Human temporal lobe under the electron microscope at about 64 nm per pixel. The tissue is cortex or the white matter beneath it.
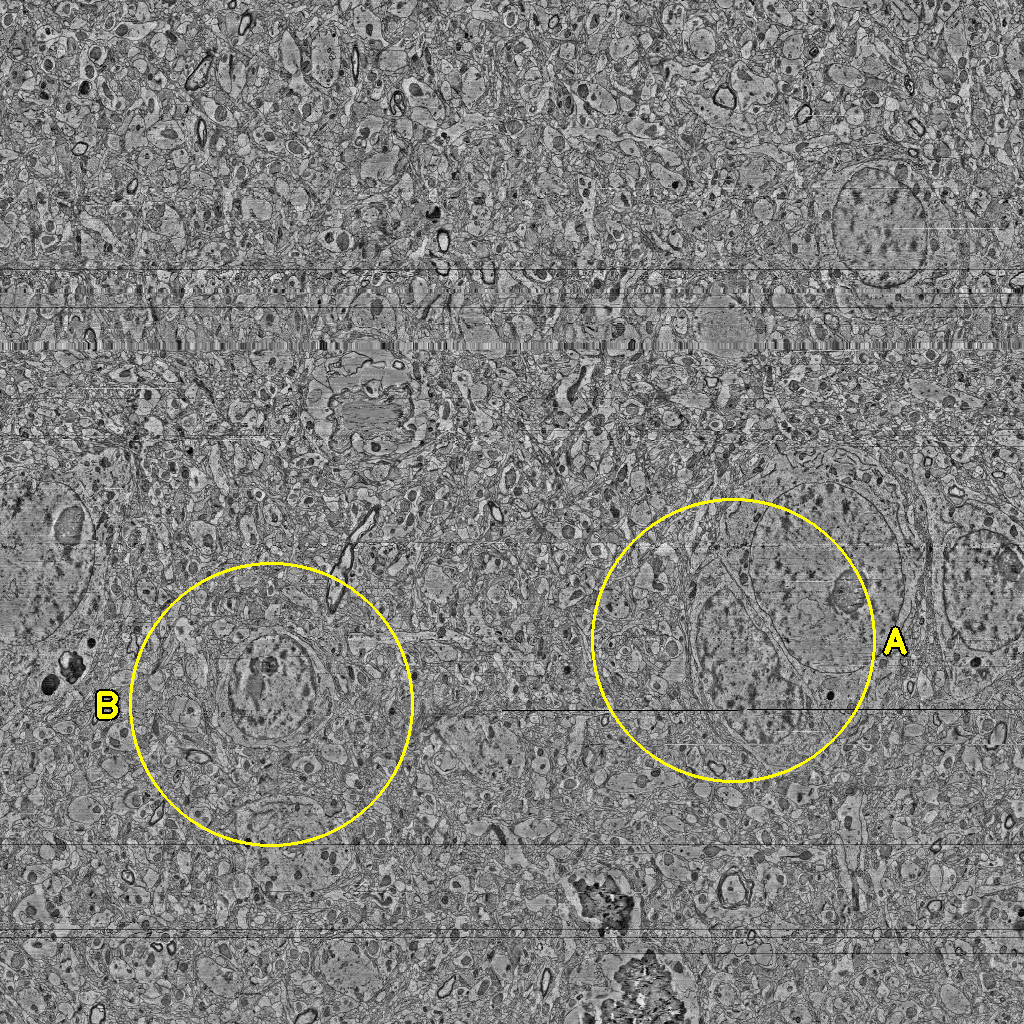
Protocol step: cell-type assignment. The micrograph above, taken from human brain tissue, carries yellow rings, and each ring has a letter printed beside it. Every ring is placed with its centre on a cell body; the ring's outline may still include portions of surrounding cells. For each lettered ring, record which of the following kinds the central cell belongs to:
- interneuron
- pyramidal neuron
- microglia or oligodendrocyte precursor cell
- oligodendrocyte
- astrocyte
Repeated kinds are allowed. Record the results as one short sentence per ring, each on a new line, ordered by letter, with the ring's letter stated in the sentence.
In ring A, the central cell is an interneuron.
In ring B, the central cell is an interneuron.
